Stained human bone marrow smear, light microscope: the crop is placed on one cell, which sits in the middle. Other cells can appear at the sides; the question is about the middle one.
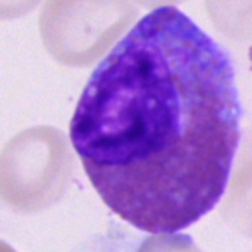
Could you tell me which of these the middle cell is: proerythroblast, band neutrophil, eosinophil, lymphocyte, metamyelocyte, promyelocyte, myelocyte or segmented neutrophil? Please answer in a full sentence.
The central cell, amid any neighbouring cells, is an eosinophil.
